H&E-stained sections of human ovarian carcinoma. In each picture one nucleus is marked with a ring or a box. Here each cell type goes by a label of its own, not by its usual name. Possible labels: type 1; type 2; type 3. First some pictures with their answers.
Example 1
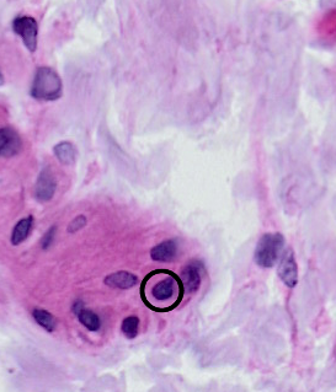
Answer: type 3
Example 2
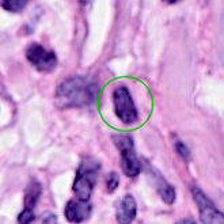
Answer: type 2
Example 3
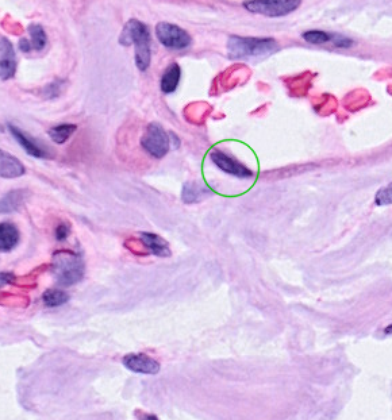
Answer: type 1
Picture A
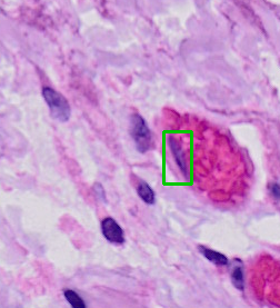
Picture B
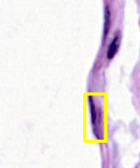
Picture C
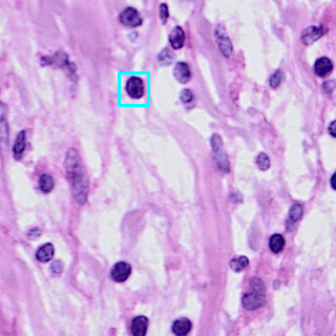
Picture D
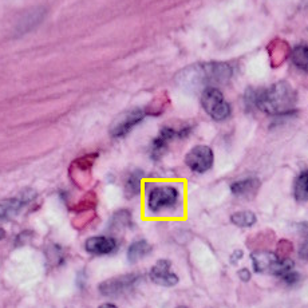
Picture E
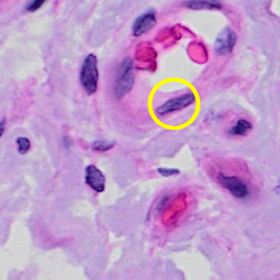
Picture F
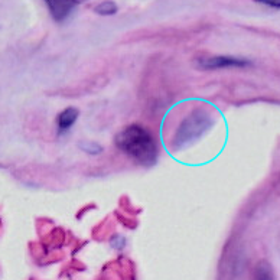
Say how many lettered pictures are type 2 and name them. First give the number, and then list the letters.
2: C, D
